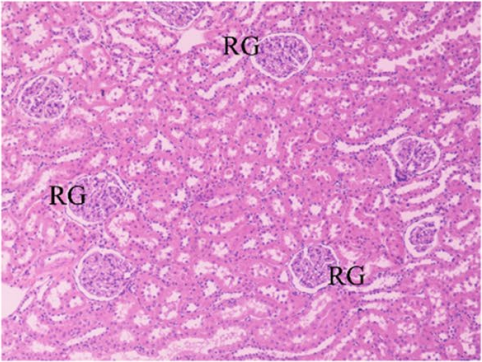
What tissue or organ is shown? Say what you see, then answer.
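Several round tufts of capillaries each surrounded by a clear space. Many small tubules with pink cytoplasm and open lumens fill the space between them.
Hence: Renal tissue.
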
